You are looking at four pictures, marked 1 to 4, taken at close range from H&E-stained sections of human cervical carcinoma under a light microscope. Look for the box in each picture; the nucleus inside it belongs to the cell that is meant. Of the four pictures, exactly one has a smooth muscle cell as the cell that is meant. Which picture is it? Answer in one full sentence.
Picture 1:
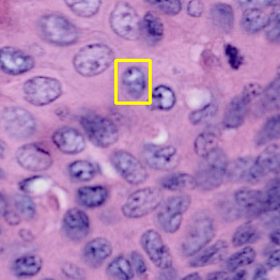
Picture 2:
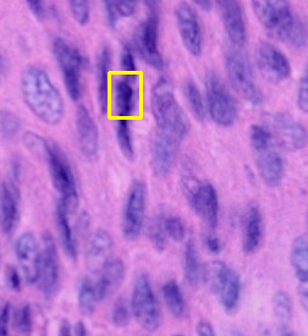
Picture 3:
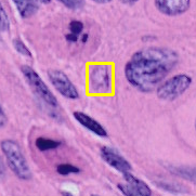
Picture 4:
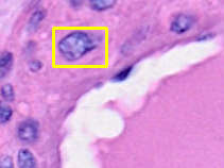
The picture with the smooth muscle cell is 4.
